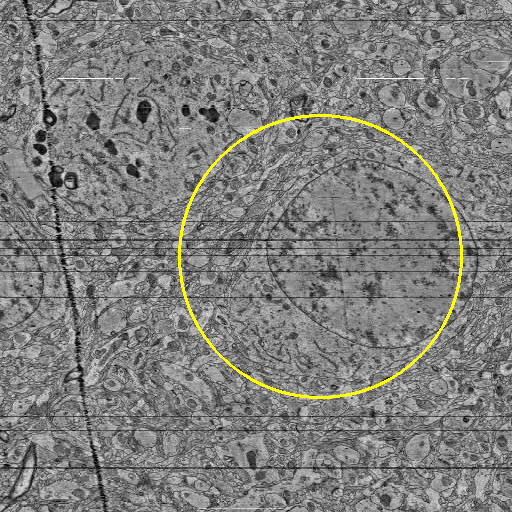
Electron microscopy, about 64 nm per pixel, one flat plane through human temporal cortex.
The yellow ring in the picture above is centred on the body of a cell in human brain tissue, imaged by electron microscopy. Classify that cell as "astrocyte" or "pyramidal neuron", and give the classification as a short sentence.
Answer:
The cell in the middle of the ring is a pyramidal neuron.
